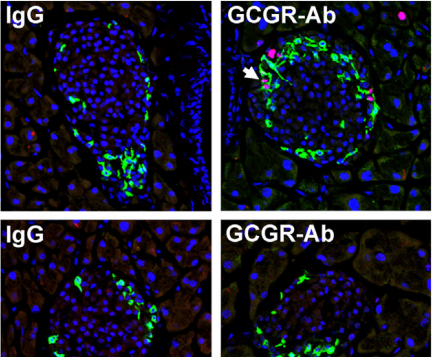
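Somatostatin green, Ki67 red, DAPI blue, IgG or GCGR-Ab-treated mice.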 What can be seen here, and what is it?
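These are four sections through pancreatic islets, each a rounded cluster of tightly packed blue nuclei set within the surrounding exocrine tissue, whose cells form larger acini. In one image a peripheral green cell with a red nucleus is marked by an arrow, and a few other red nuclei appear nearby.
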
